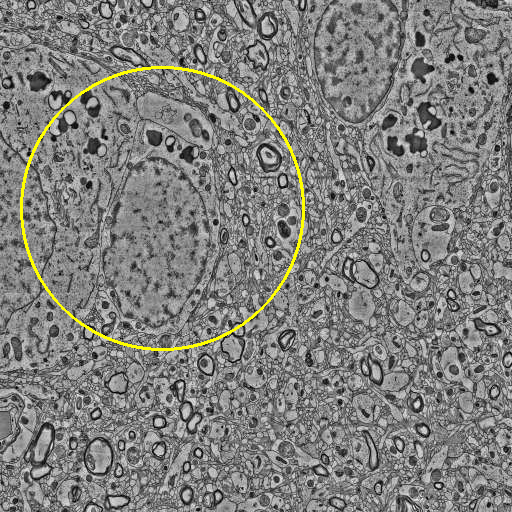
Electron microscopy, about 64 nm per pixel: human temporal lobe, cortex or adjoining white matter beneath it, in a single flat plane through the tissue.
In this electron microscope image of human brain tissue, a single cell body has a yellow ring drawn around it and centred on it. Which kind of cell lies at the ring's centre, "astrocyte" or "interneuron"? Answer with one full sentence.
It is an interneuron whose cell body lies at the centre of the yellow ring here.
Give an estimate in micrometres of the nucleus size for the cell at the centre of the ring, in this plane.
In this plane the nucleus is clearly longer than it is wide, at approximately 11 by 7 micrometres.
